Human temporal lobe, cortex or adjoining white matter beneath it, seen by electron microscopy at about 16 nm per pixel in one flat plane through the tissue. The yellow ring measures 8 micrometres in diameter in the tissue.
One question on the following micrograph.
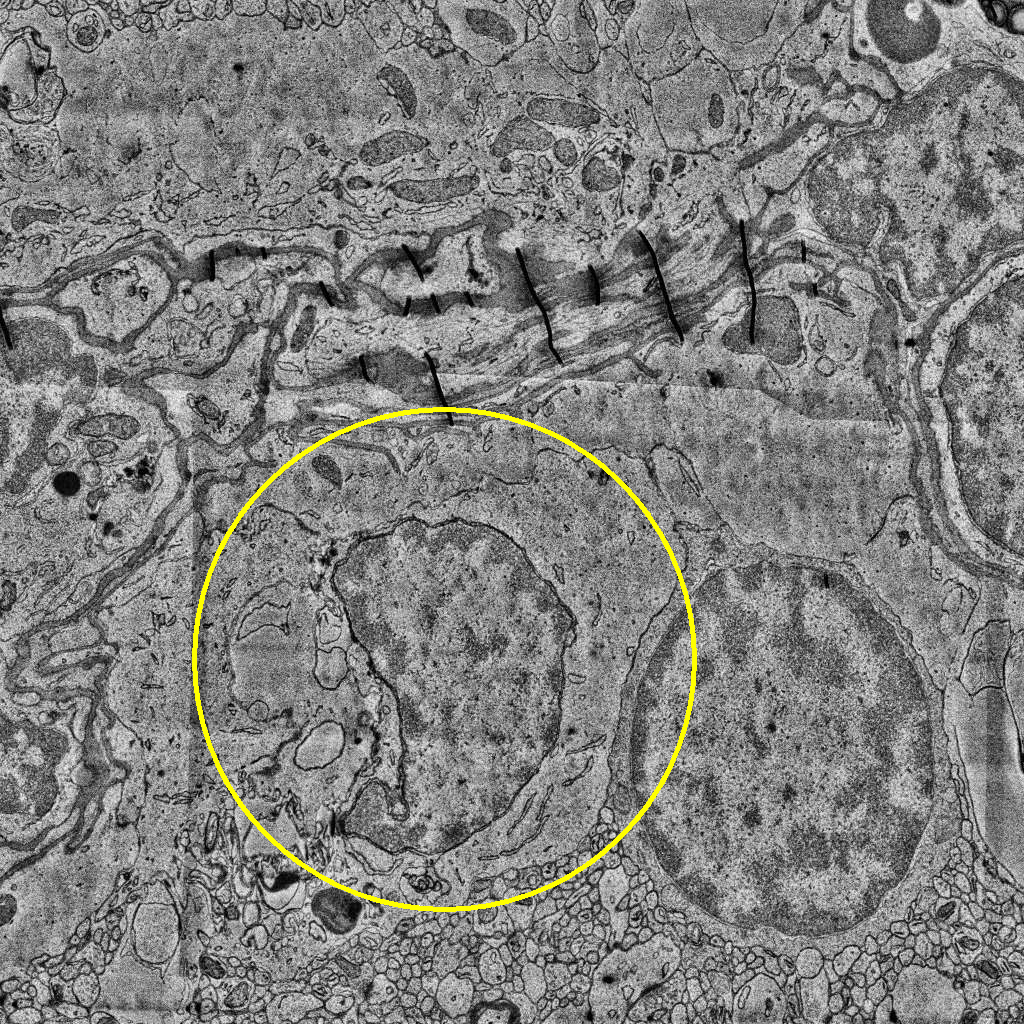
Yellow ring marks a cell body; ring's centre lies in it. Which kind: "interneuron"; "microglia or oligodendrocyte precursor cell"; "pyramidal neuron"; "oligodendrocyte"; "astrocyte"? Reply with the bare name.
microglia or oligodendrocyte precursor cell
